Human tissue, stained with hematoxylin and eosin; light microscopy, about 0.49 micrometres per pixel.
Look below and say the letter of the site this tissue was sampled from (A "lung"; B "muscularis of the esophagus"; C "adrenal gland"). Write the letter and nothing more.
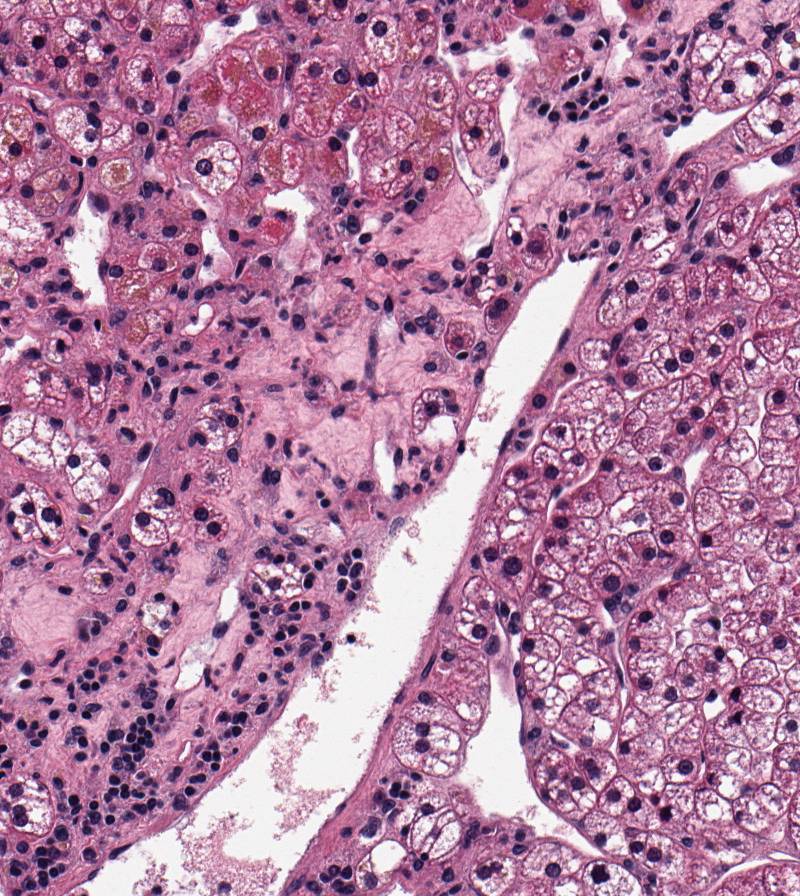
C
